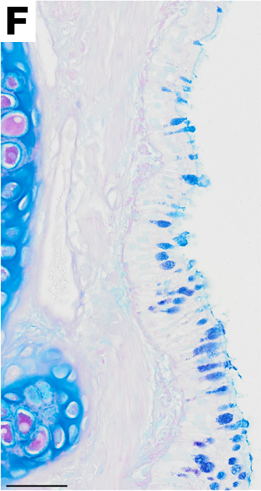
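Airway wall in which the surface epithelium contains scattered mucus secretory cells holding dark blue-staining droplets. These cells are interspersed among pale, unstained columnar epithelial cells, more numerous toward the lower part of the lining. Beneath the epithelium lies pale pink, loosely fibrous connective tissue. On the left, cartilage stains bright blue, with chondrocytes sitting in rounded lacunae.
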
